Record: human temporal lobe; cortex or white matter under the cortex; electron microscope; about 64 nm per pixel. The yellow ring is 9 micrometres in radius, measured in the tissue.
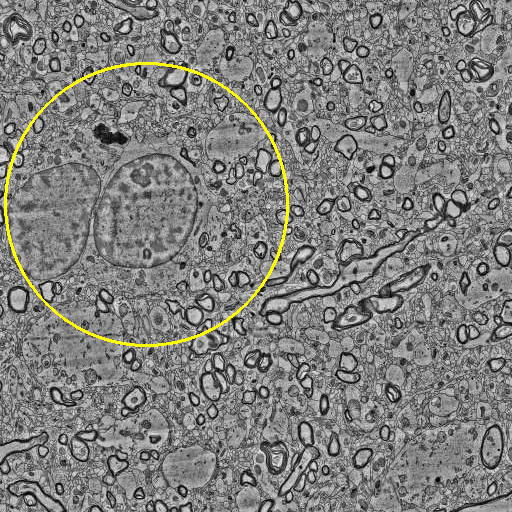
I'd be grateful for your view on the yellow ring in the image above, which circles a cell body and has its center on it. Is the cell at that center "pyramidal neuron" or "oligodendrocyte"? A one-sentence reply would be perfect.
The cell at the center of the yellow ring is an oligodendrocyte.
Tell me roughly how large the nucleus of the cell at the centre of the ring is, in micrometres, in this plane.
Roughly 8 micrometres by 7 micrometres, in this plane.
